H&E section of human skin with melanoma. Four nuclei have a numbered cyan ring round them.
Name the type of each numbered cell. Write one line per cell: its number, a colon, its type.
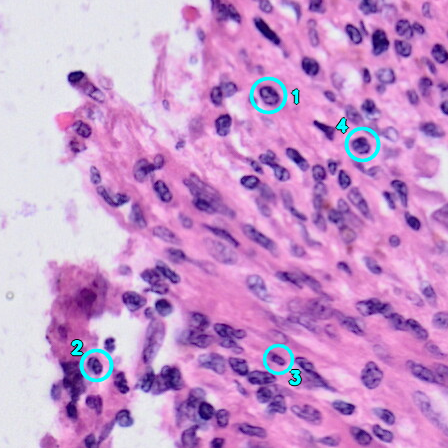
1: plasma cell
2: lymphocyte
3: lymphocyte
4: lymphocyte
